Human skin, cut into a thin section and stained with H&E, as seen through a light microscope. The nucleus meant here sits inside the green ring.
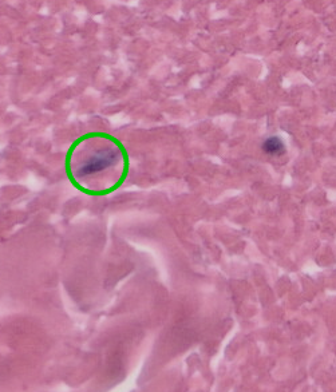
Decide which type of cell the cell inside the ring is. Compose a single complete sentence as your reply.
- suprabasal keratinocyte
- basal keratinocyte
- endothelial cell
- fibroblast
To be brief about it, the cell inside the ring is a fibroblast.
